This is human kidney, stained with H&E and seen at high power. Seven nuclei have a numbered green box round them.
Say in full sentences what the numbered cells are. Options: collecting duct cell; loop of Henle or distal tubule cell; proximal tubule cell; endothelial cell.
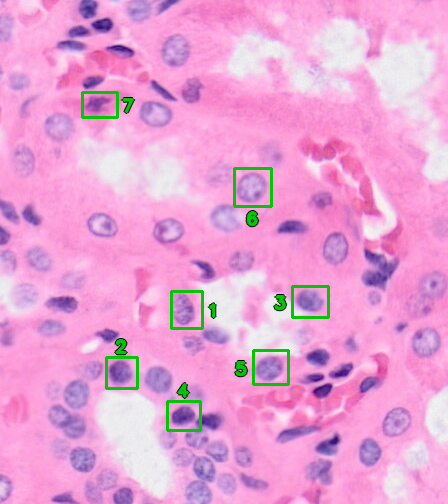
Cells 1, 3 and 5 are loop of Henle or distal tubule cells. Cells 2 and 4 are collecting duct cells. Cells 6 and 7 are proximal tubule cells.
